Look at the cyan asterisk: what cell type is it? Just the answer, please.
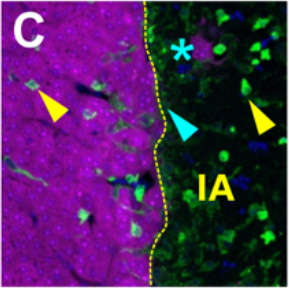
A: Spared hepatocytes.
